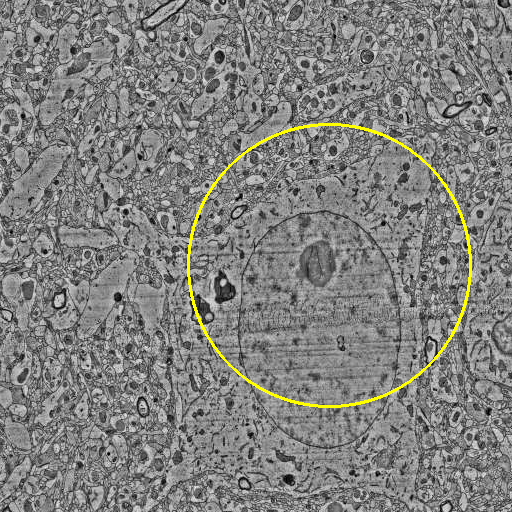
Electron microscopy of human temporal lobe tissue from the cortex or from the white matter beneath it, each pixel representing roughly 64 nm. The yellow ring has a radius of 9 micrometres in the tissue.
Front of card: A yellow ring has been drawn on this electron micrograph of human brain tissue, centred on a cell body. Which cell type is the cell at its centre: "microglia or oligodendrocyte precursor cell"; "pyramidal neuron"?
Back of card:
pyramidal neuron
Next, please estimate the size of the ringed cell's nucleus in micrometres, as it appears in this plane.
About 15 micrometres by about 10 micrometres in this plane.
